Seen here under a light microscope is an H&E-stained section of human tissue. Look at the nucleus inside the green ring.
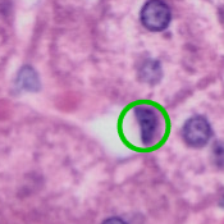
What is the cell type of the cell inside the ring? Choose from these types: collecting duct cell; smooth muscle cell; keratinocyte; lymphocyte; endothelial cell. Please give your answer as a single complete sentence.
Students should answer that the cell inside the ring is an endothelial cell.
